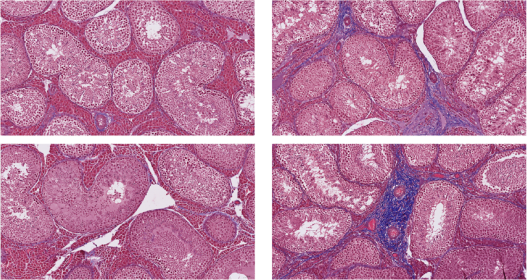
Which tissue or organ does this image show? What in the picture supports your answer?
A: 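Closely packed round and oval tubule profiles fill the field. On this evidence: testes.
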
